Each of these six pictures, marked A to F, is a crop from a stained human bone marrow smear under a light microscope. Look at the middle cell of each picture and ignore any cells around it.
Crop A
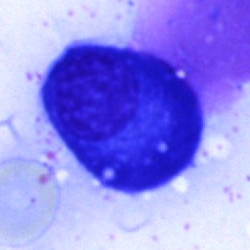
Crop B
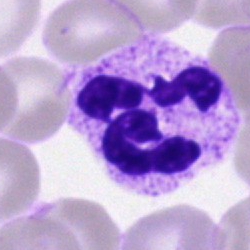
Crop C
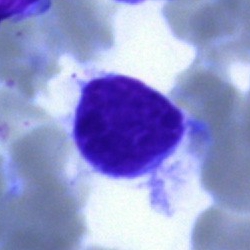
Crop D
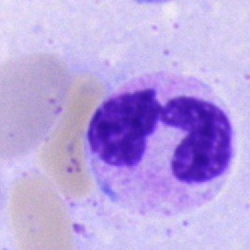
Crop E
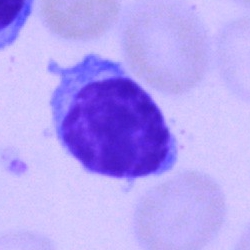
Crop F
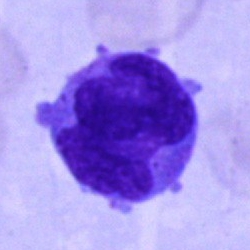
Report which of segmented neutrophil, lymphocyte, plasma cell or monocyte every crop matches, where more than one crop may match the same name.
A: plasma cell
B: segmented neutrophil
C: lymphocyte
D: segmented neutrophil
E: lymphocyte
F: monocyte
